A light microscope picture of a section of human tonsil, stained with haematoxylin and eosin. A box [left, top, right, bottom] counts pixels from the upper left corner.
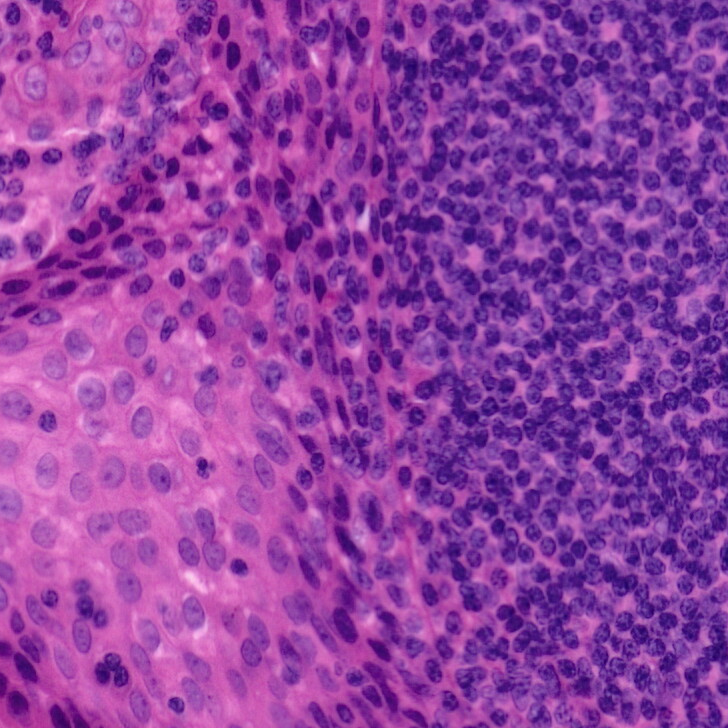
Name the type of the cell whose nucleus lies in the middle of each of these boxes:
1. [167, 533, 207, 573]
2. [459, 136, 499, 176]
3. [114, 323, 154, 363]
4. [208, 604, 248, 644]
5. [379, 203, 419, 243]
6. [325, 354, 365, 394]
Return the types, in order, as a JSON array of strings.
["squamous epithelial cell", "small lymphocyte", "squamous epithelial cell", "squamous epithelial cell", "small lymphocyte", "squamous epithelial cell"]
